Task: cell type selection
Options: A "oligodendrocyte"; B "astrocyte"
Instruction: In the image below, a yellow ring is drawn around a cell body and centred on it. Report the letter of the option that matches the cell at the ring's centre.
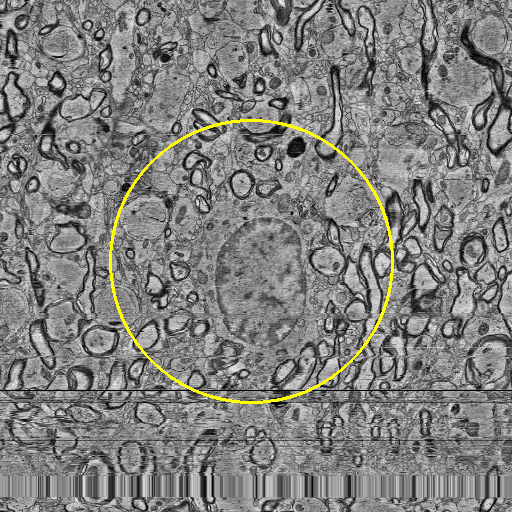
A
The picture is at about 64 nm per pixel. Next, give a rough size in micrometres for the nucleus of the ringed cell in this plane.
The nucleus of the ringed cell is clearly longer than it is wide in this plane, about 8 by 6 micrometres.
